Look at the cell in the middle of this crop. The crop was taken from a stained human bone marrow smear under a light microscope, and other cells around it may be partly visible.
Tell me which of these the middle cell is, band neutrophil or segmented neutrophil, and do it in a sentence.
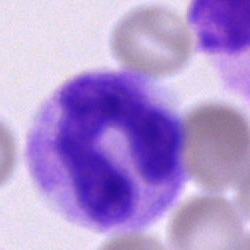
The cell centred in this crop is categorized as a band neutrophil.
